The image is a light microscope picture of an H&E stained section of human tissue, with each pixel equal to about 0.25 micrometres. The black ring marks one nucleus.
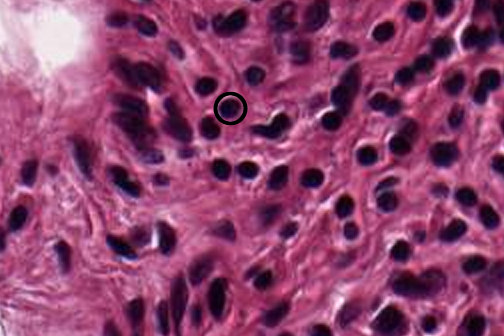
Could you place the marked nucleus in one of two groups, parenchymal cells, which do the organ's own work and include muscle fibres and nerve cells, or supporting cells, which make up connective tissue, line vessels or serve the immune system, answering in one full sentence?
Designated as that of a supporting cell is the marked nucleus.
